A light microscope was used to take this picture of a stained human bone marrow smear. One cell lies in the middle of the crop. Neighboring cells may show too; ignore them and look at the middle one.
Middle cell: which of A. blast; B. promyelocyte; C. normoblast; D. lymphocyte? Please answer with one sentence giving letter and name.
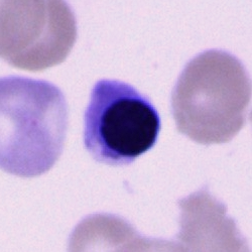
Since the middle cell is a normoblast, option C is the right one.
